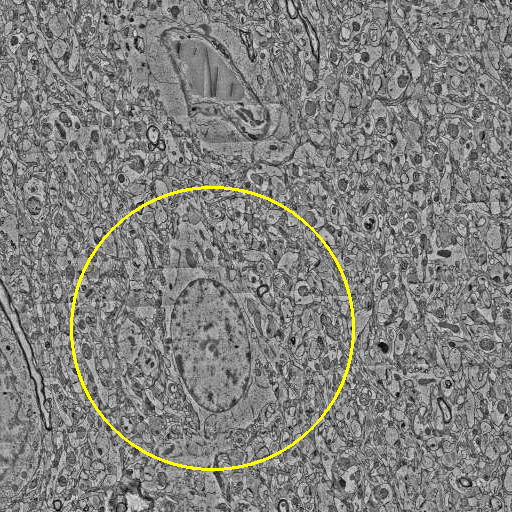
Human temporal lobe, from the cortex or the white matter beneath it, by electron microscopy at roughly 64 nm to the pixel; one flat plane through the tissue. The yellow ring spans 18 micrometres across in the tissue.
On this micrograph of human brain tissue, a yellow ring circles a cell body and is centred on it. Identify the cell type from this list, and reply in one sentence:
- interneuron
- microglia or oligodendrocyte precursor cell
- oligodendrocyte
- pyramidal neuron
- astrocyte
The cell at the centre is an astrocyte.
